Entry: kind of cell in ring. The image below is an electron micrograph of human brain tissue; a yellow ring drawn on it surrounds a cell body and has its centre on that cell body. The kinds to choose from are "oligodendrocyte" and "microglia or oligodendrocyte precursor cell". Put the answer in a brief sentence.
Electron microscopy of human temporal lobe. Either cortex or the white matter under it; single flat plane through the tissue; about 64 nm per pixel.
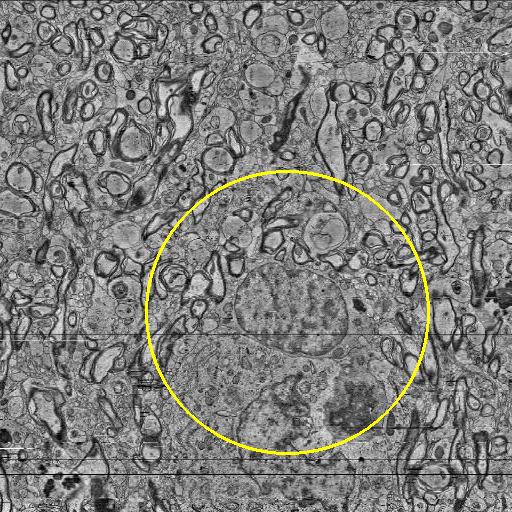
The ring has been drawn around an oligodendrocyte.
